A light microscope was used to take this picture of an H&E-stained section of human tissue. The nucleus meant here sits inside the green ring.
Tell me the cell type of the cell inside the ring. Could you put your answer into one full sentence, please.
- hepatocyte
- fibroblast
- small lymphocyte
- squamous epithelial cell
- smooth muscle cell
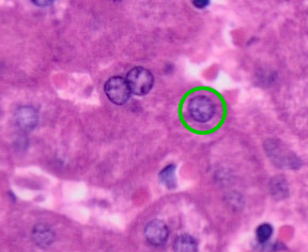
Microscopically, the cell inside the ring is categorized as a hepatocyte.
